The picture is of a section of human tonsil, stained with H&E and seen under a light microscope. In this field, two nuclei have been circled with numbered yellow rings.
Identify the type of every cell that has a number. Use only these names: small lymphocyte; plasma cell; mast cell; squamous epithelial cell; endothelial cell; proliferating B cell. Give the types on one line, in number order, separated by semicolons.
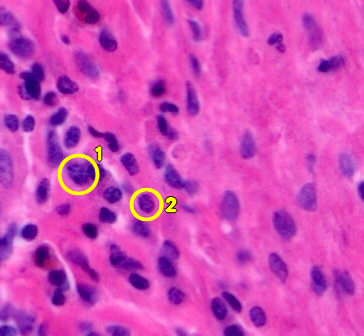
plasma cell; mast cell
